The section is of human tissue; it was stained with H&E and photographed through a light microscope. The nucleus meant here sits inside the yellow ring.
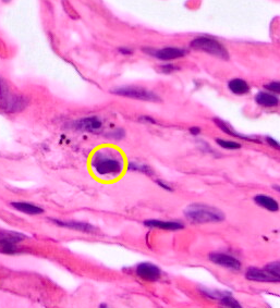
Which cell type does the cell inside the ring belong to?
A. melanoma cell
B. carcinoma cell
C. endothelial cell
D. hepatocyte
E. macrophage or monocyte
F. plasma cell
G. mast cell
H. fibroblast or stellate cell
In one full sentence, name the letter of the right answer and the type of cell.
In short, option F: the cell inside the ring is a plasma cell.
